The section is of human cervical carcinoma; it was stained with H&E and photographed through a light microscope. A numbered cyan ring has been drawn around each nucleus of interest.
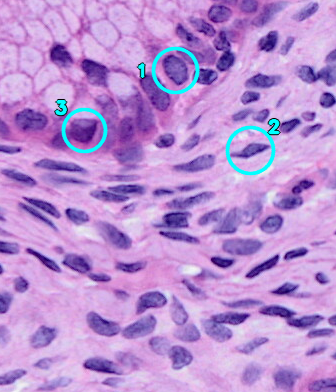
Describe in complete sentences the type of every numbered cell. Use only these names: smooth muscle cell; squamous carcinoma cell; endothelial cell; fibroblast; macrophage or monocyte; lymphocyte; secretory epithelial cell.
Cell 1 is a secretory epithelial cell, cell 2 is a fibroblast and cell 3 is a secretory epithelial cell.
